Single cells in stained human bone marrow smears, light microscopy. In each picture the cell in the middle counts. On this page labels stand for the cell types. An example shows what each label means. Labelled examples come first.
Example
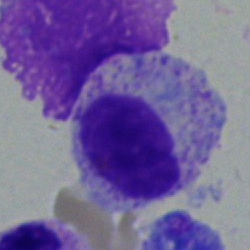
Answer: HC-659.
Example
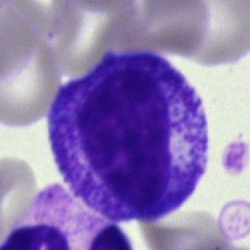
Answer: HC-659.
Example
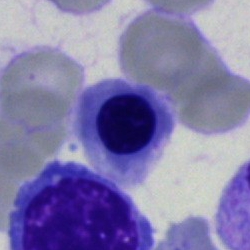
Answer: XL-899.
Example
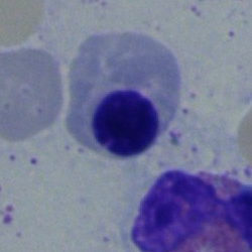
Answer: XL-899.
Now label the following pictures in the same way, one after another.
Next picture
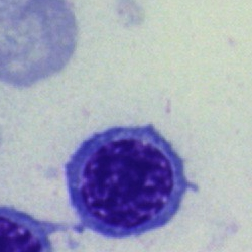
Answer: XL-899.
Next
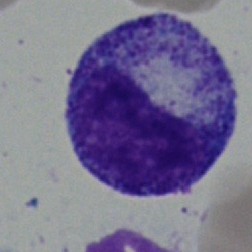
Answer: HC-659.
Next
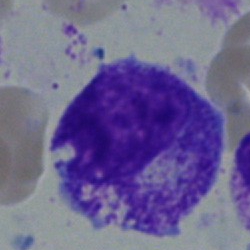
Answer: HC-659.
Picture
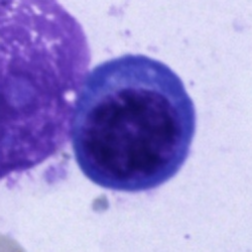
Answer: XL-899.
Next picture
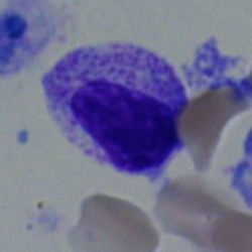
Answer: HC-659.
